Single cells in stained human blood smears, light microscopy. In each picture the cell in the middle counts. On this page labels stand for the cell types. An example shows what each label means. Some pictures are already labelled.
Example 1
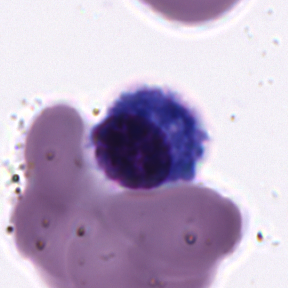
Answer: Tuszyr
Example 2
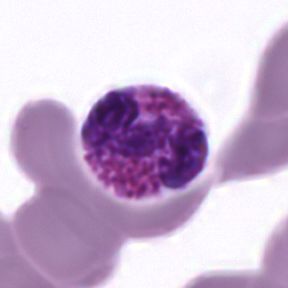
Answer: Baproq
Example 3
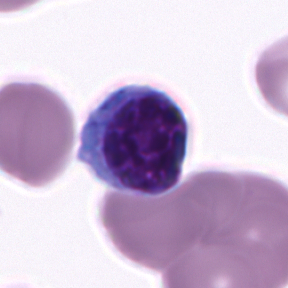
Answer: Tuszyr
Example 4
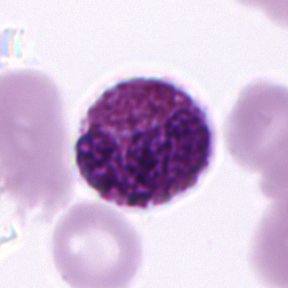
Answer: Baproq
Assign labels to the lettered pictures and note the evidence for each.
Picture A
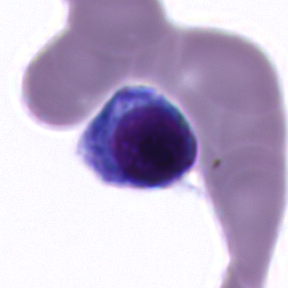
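Answer: Tuszyr. The cytoplasm is stained a deep blue.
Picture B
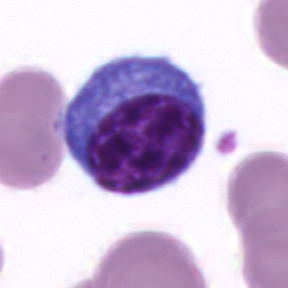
Answer: Tuszyr. The cytoplasm is deep blue.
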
